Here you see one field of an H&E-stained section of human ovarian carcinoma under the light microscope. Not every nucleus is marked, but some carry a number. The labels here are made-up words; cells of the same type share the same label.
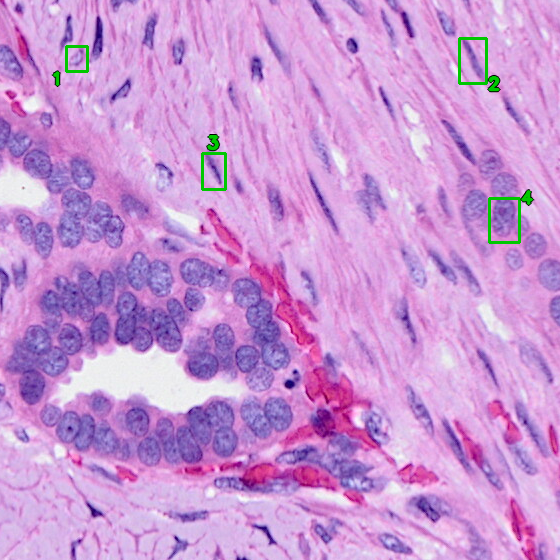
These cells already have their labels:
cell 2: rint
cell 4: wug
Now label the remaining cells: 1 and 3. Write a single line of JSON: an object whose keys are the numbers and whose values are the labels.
{"1": "rint", "3": "rint"}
